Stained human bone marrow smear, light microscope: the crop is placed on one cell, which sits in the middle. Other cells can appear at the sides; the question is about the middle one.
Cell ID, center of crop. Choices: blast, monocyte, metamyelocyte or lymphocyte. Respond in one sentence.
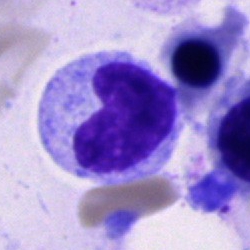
The identification for the central cell is a metamyelocyte.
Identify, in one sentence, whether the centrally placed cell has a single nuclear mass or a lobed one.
If you check the nucleus, you will find one compact mass, round, oval or kidney-shaped.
